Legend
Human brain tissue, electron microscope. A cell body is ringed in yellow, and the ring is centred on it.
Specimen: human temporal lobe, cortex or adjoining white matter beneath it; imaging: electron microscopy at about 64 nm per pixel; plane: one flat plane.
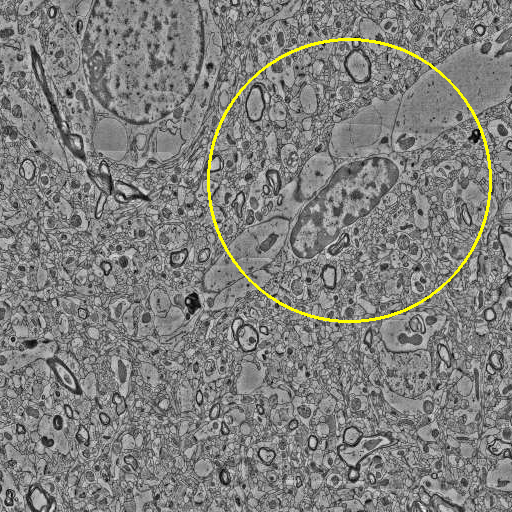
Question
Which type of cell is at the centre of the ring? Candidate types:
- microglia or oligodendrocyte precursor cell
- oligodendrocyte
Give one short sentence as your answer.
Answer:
The yellow ring is centred here on a microglial cell or oligodendrocyte precursor cell.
